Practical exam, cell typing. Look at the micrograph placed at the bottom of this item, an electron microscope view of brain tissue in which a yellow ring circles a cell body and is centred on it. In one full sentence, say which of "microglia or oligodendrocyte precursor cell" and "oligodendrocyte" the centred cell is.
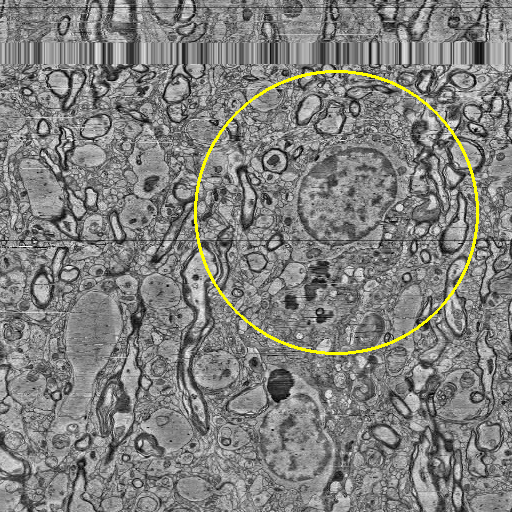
Given the options, an oligodendrocyte fits the cell whose body the yellow ring is centred on.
